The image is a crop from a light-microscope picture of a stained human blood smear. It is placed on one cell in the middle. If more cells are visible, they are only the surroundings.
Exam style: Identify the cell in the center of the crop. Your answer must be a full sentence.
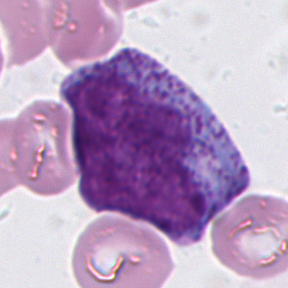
The cell under consideration, at the middle of the crop, is a promyelocyte.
